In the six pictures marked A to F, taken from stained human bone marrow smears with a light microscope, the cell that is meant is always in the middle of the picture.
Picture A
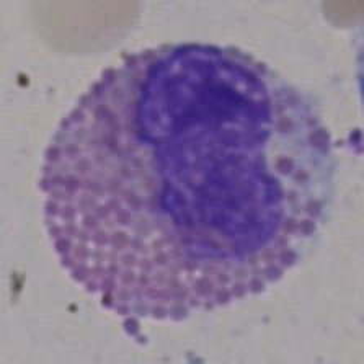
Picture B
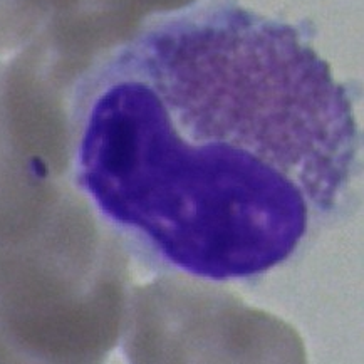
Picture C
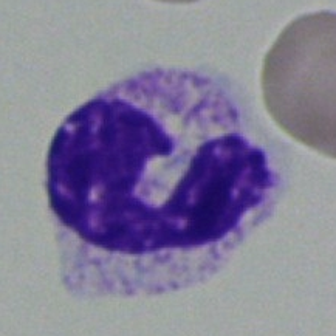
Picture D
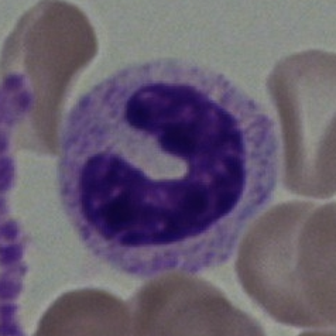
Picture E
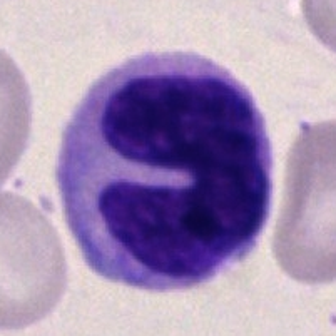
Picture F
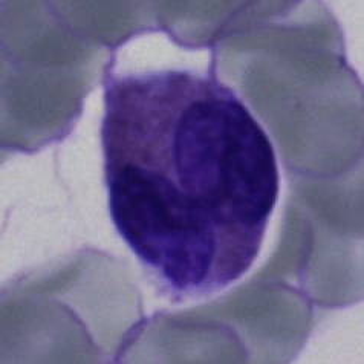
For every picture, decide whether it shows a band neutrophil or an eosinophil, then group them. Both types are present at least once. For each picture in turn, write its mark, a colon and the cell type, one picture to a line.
A: eosinophil
B: eosinophil
C: band neutrophil
D: band neutrophil
E: band neutrophil
F: eosinophil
